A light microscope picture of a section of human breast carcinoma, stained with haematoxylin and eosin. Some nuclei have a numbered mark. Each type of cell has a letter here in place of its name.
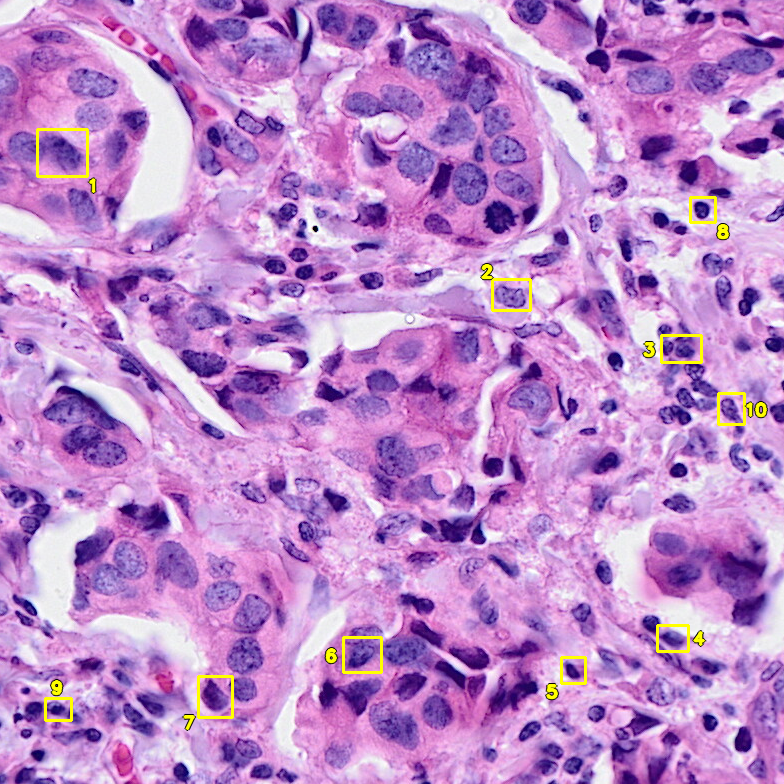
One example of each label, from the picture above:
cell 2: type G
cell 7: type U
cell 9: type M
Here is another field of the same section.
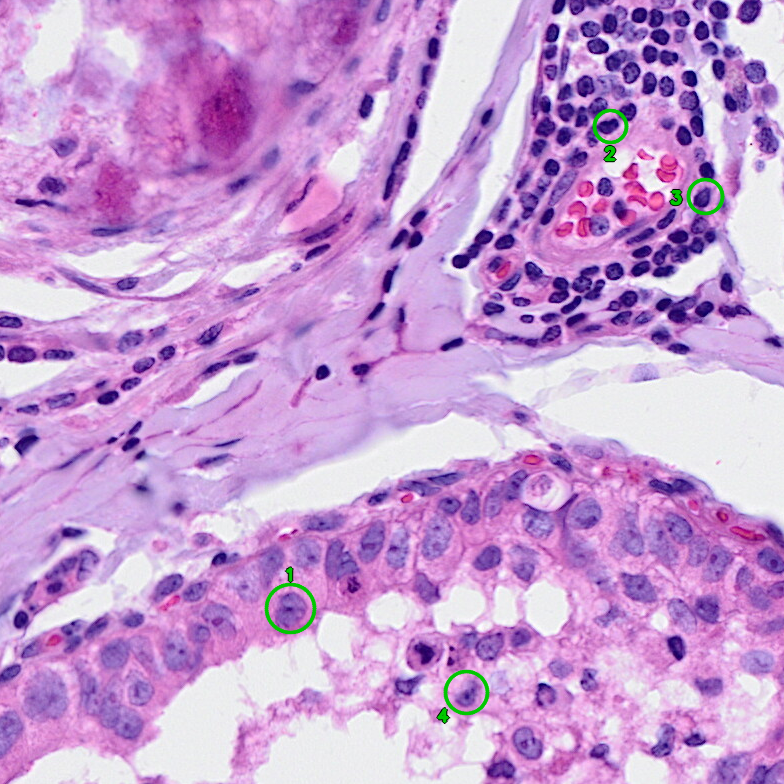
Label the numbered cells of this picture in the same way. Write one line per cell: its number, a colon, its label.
1: type U
2: type M
3: type M
4: type G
